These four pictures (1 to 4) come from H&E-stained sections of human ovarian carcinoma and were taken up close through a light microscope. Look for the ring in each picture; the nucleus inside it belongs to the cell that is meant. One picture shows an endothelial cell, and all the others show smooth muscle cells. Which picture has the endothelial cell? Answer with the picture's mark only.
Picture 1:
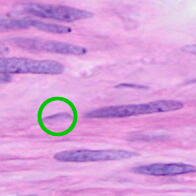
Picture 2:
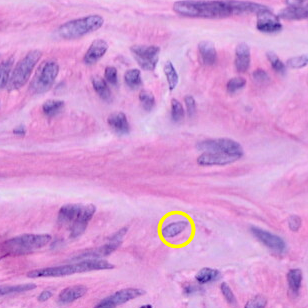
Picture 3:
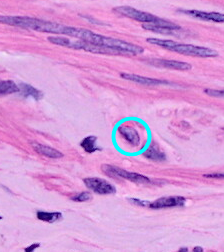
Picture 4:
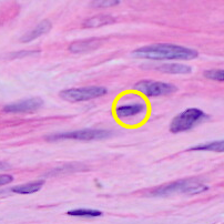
3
